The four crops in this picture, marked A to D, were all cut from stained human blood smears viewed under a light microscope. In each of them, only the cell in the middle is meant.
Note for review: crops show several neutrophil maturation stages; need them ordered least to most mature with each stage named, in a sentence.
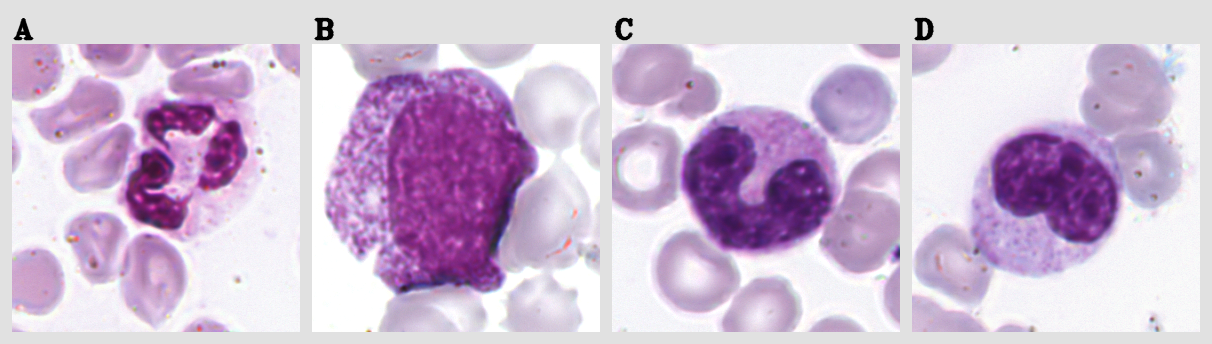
In sequence of increasing maturity, the order is crop B (a promyelocyte), crop D (a metamyelocyte), crop C (a band neutrophil) and crop A (a segmented neutrophil).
